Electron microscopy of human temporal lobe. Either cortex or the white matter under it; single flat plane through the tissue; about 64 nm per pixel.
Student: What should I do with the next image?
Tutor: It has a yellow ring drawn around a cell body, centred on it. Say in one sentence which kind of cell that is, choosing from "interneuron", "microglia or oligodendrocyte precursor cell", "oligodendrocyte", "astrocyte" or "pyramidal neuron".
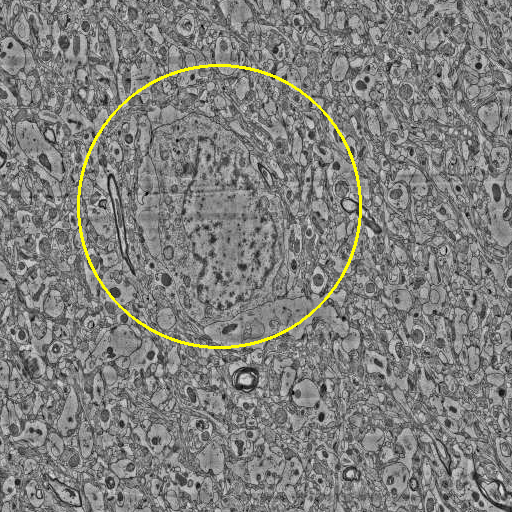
The ring's centre is occupied by an interneuron.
